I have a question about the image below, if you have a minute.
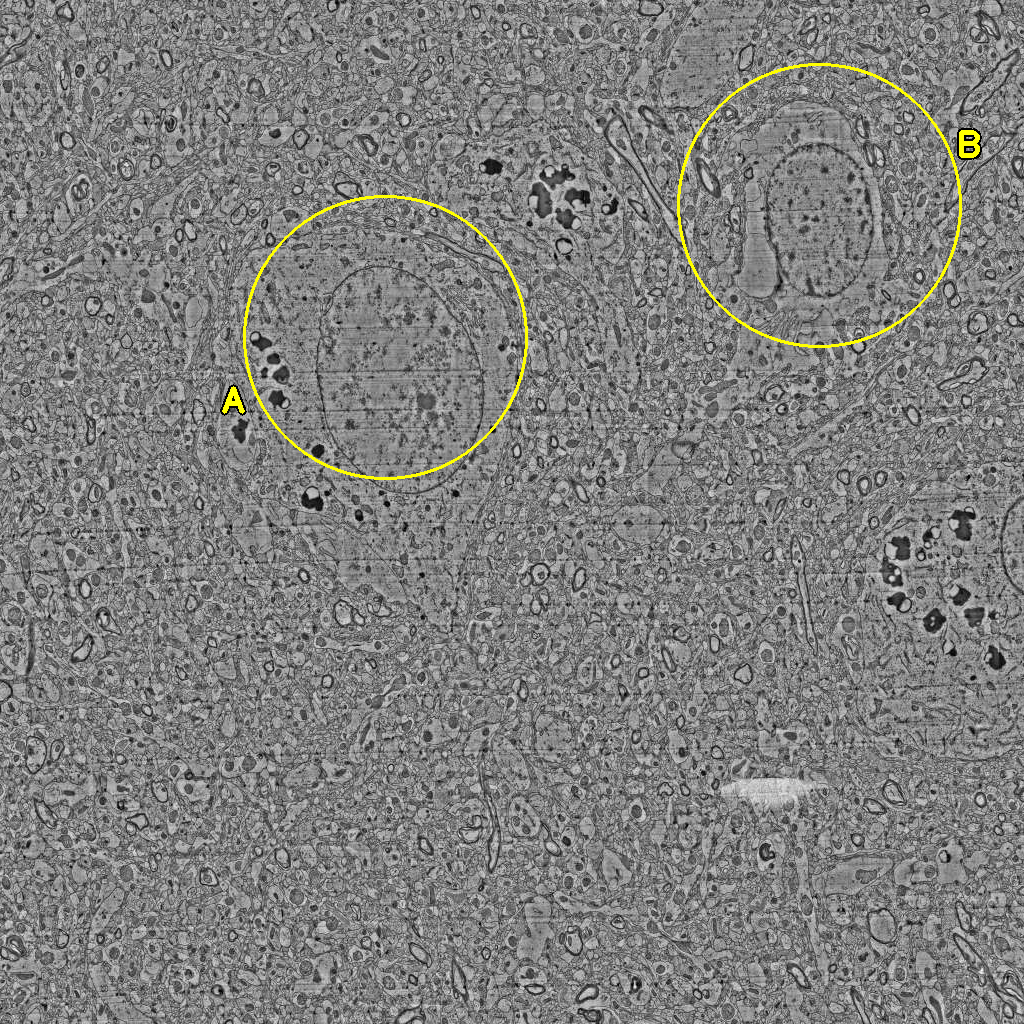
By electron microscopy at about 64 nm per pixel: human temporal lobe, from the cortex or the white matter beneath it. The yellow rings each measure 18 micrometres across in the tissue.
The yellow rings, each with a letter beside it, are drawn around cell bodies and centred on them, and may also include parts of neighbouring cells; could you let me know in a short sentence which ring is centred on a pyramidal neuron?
Ring A is centred on it.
